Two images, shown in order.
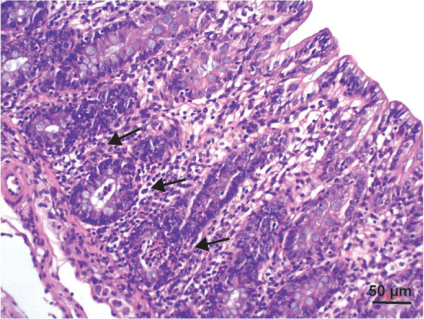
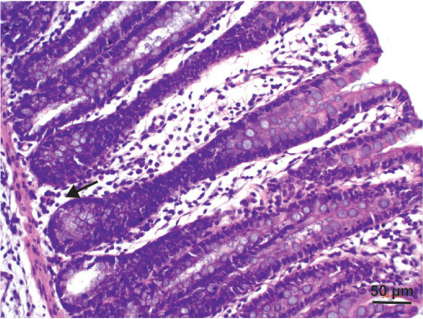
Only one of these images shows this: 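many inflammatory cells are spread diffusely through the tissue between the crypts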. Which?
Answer: the first image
